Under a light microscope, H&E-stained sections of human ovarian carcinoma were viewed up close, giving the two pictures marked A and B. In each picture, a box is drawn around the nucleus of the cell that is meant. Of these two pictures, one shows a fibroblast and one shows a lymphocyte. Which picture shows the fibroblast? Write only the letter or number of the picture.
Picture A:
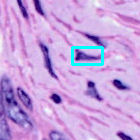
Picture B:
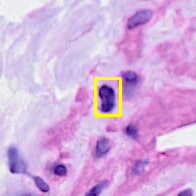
A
